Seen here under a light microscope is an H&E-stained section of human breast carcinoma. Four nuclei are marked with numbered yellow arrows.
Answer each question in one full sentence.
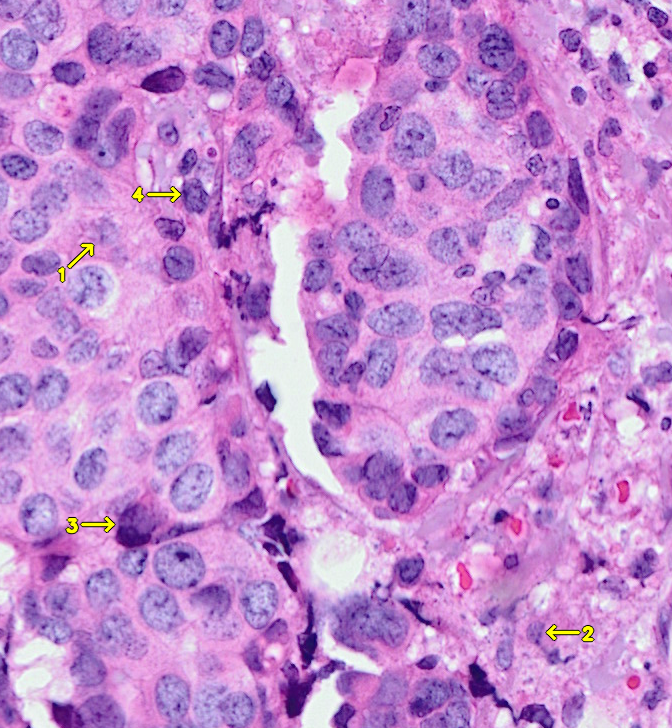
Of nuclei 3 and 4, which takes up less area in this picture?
Nucleus 4 is the smaller one; nucleus 3 covers about 2 times its area.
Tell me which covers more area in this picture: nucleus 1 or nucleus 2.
Nucleus 1 is the larger one, covering about 2 times the area of nucleus 2.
